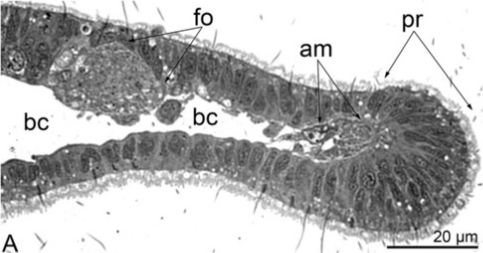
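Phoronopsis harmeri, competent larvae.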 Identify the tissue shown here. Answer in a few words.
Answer: The hood edge.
